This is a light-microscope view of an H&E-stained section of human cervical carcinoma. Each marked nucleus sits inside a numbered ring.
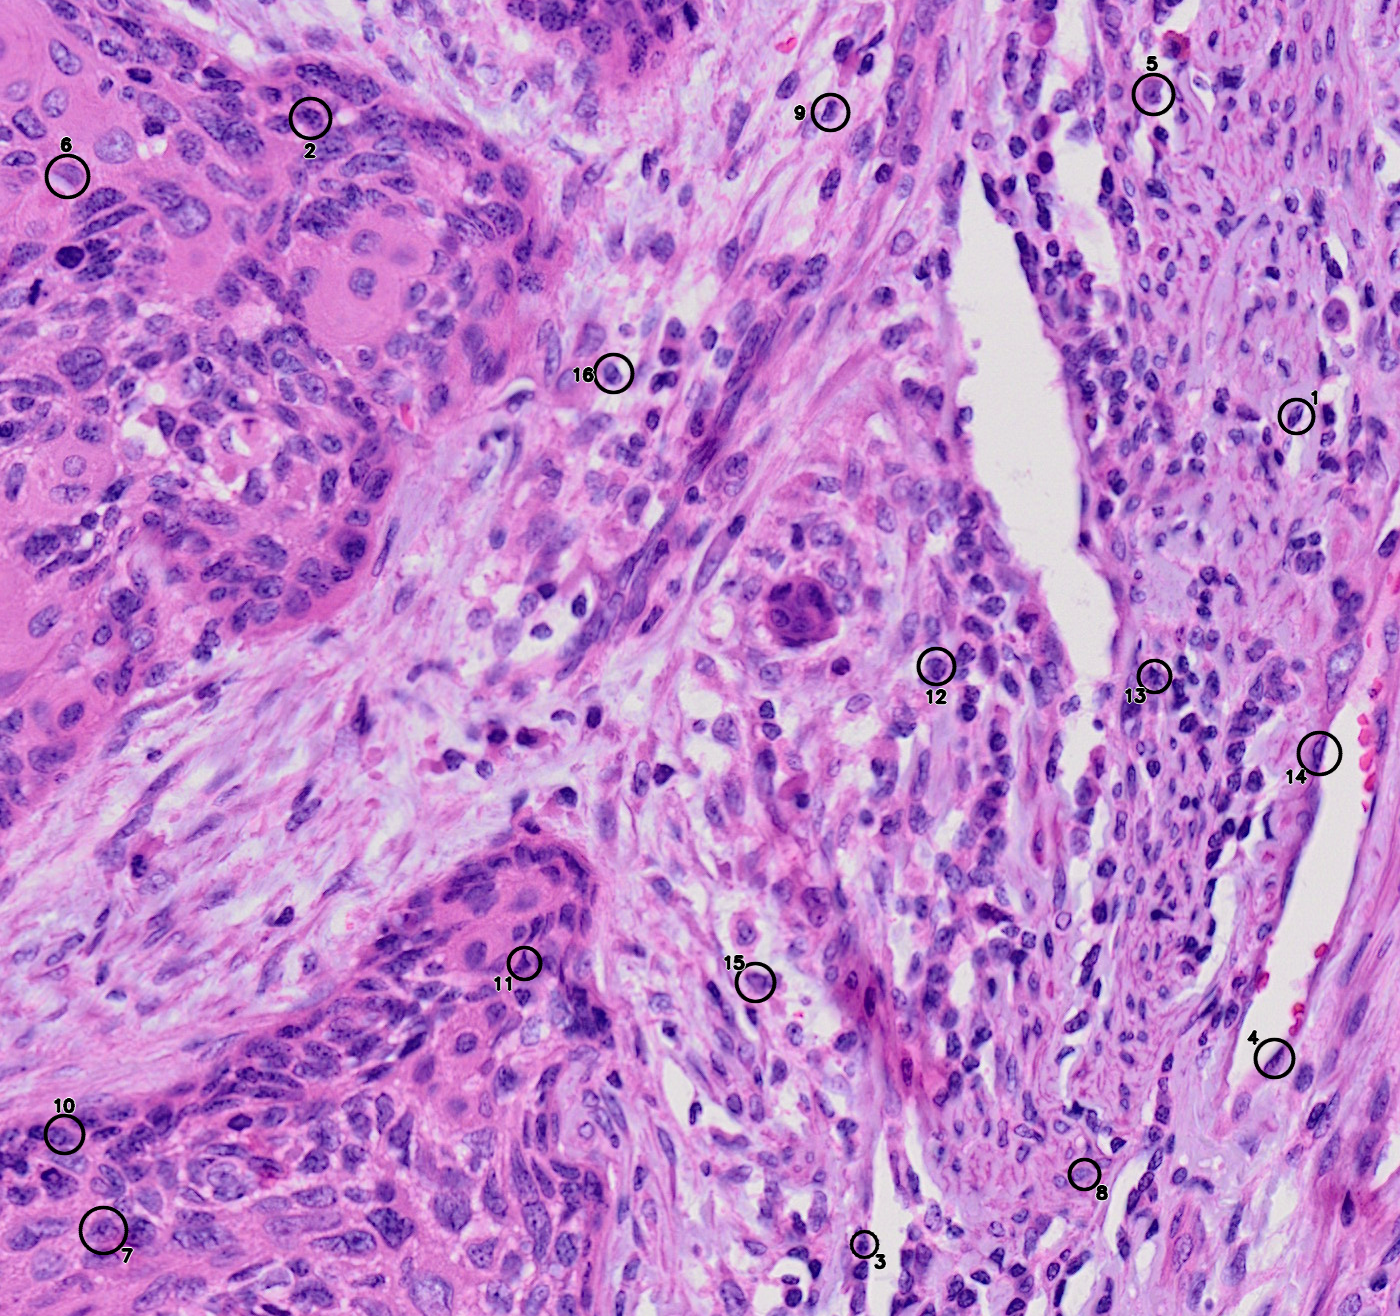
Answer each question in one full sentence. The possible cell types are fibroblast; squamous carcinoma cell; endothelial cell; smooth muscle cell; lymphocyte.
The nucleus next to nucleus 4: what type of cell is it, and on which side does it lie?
The nearest nucleus is that of a lymphocyte and lies below and to the right of nucleus 4.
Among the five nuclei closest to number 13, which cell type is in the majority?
Around number 13, most of the five nearest nuclei are those of lymphocytes.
